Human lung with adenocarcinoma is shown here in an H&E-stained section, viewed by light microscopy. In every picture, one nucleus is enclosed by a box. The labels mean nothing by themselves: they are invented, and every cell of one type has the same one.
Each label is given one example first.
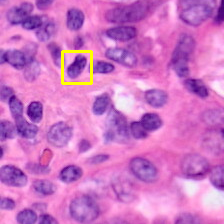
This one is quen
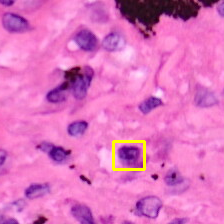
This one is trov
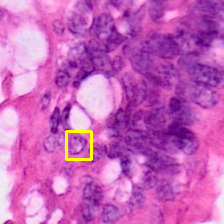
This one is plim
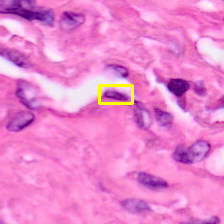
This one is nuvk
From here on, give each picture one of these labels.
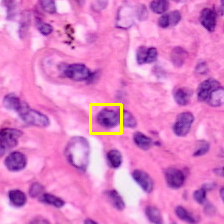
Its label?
quen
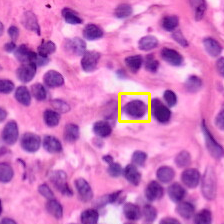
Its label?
quen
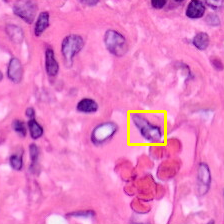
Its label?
nuvk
